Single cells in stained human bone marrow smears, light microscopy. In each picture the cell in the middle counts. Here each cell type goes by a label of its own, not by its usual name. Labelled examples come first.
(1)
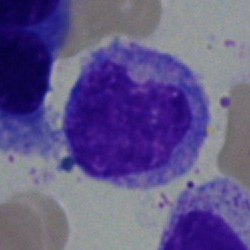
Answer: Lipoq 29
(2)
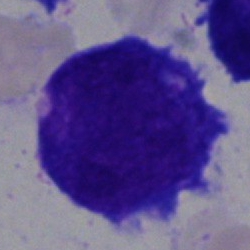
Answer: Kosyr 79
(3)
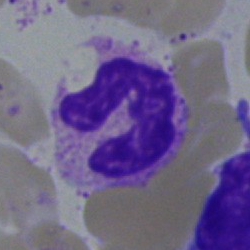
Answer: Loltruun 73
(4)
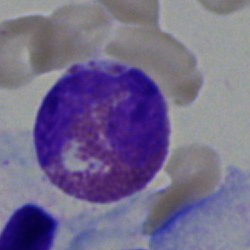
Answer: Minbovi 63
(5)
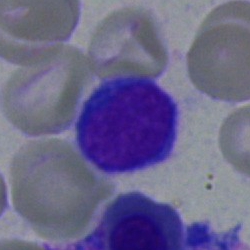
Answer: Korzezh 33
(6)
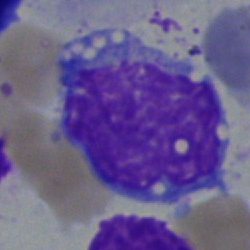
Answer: Kosyr 79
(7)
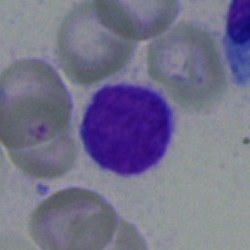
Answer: Korzezh 33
